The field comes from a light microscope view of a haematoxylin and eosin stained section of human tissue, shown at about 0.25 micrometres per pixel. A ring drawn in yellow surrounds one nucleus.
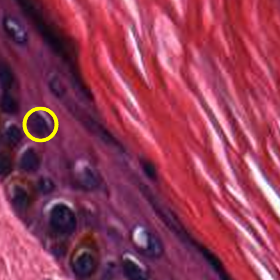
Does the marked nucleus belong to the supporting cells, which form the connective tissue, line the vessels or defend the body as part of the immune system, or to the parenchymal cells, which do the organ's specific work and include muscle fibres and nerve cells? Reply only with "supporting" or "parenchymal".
parenchymal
